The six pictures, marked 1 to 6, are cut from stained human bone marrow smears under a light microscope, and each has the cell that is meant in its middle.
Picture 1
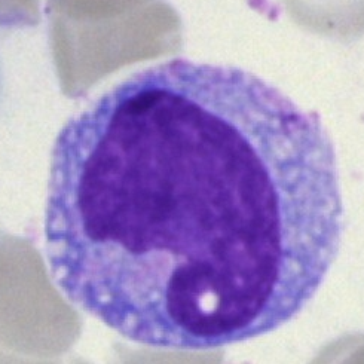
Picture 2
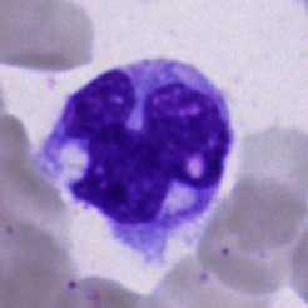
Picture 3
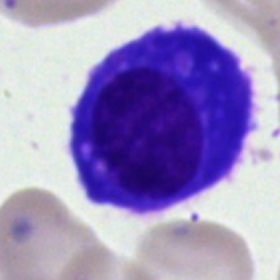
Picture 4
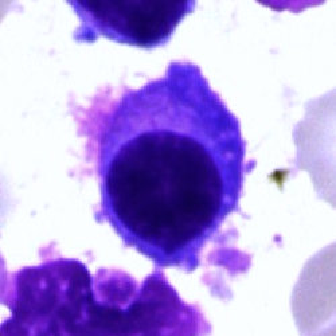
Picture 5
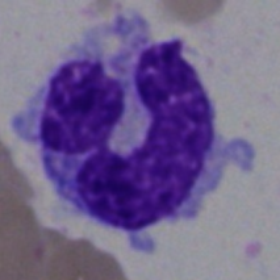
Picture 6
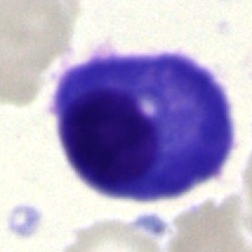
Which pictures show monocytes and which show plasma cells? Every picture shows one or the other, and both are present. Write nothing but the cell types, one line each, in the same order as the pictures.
monocyte
monocyte
plasma cell
plasma cell
monocyte
plasma cell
